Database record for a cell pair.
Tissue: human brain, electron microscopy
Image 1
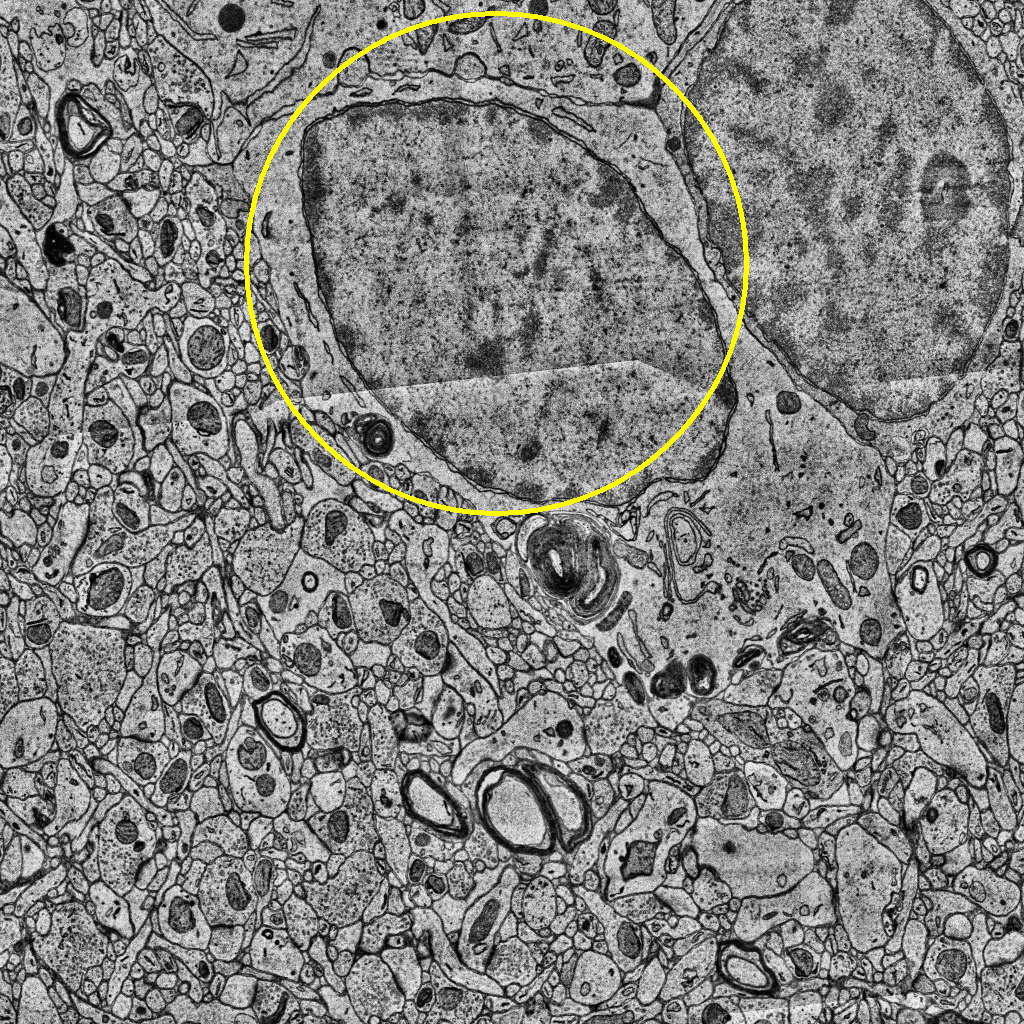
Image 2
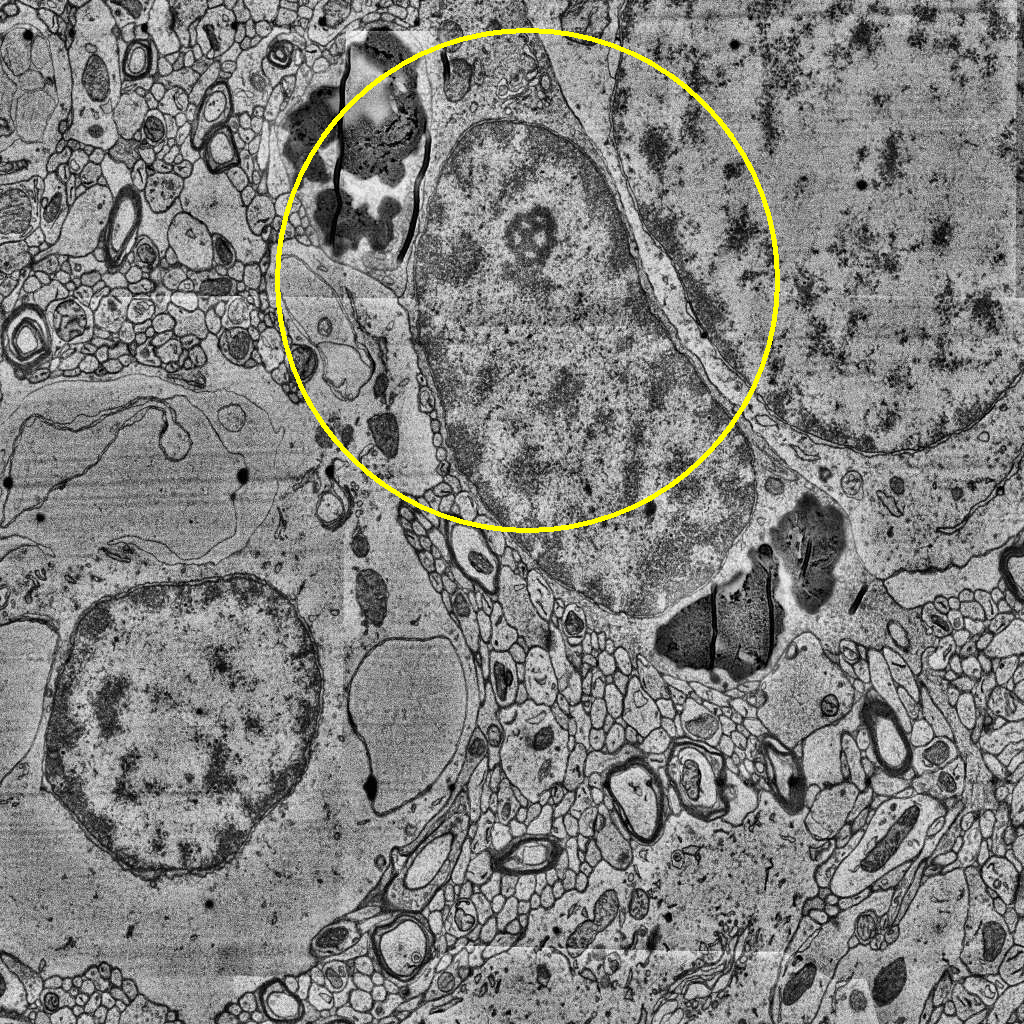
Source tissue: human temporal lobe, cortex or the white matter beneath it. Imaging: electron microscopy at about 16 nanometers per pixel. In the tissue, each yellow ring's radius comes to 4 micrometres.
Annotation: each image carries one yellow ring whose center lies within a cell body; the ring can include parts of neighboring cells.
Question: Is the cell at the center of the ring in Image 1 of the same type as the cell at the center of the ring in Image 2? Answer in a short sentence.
Yes, the cells are of the same type.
